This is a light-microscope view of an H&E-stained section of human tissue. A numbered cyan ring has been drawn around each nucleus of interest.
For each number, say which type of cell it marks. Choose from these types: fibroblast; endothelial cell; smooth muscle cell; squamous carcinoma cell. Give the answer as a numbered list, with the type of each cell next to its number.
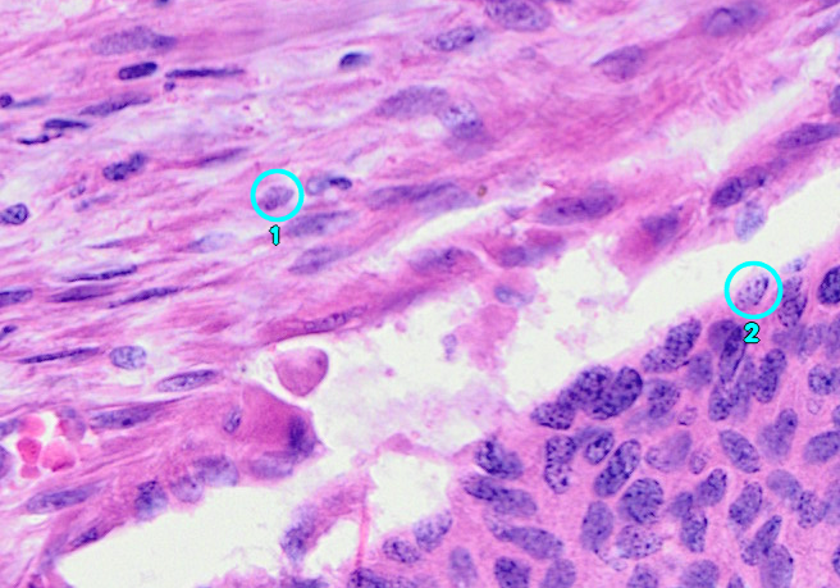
1. fibroblast
2. squamous carcinoma cell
